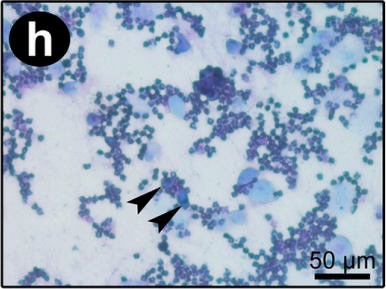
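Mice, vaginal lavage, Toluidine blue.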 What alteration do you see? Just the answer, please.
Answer: Intense neutrophil infiltration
